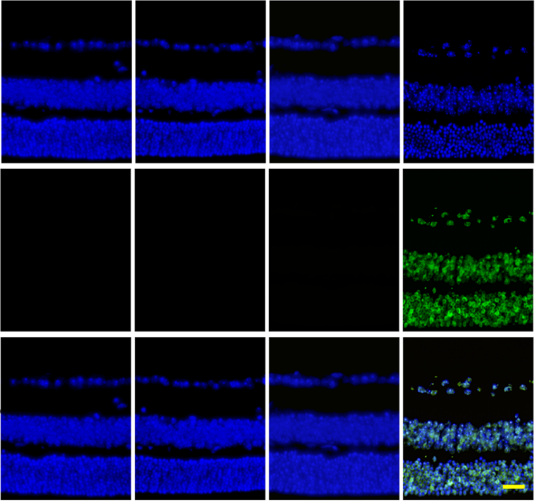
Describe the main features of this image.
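Retinal sections in four columns show blue-stained nuclei arranged in a sparse inner row and two broad nuclear bands separated by a dark gap. In the first three columns, no green signal is seen in any layer. In the right-hand column, the nuclei of all layers are filled with green signal, which overlaps the blue nuclei in the merged row.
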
